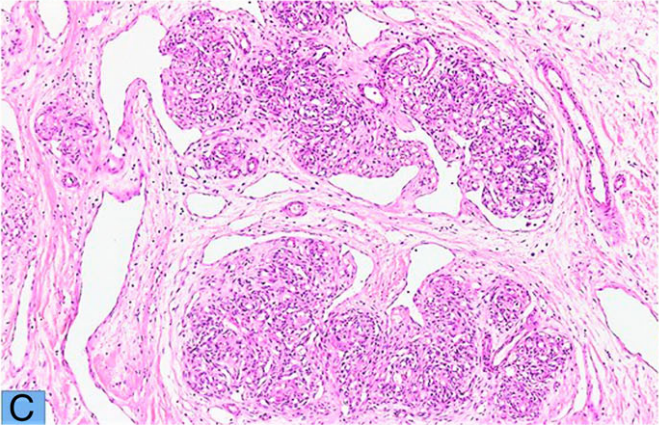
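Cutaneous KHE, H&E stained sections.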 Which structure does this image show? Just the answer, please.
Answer: Lymphangioma-like vascular spaces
